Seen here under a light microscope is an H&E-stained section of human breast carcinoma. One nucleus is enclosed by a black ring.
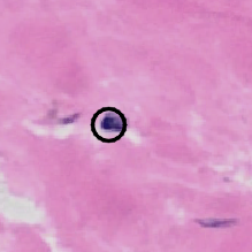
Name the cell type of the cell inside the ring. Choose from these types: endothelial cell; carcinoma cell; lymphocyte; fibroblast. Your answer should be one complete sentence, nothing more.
To be brief about it, the cell inside the ring is a lymphocyte.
